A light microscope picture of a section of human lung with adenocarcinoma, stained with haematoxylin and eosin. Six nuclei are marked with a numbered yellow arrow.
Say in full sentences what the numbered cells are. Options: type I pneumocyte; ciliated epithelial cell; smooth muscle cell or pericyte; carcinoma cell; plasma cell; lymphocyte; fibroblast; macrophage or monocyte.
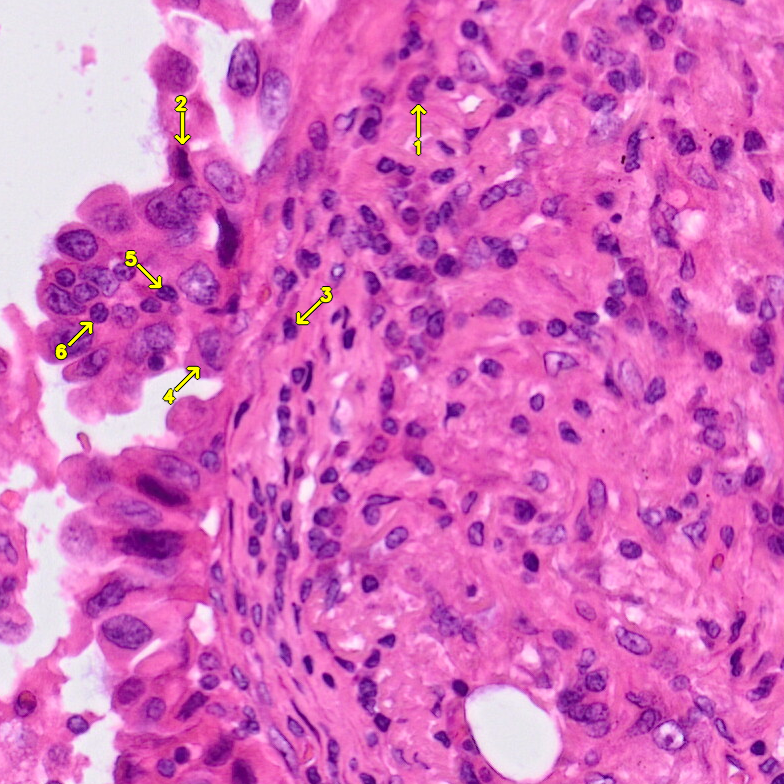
Cell 1 is a plasma cell. Cells 2 and 4 are carcinoma cells. Cells 3, 5 and 6 are lymphocytes.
